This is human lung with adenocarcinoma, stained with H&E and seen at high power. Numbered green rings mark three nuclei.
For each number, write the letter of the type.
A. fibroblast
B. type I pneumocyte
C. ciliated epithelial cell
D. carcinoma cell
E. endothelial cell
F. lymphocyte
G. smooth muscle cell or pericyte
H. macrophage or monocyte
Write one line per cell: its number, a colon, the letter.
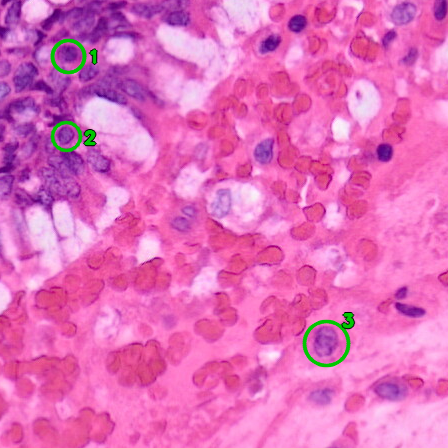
1: C
2: C
3: H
